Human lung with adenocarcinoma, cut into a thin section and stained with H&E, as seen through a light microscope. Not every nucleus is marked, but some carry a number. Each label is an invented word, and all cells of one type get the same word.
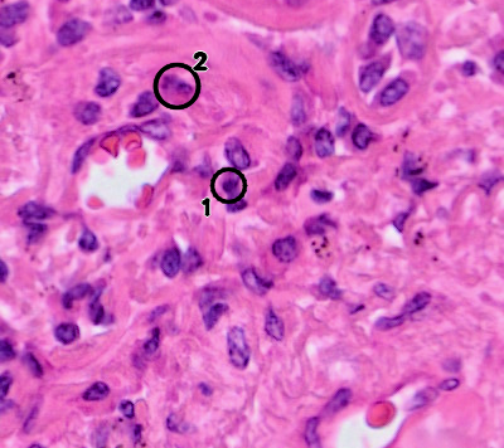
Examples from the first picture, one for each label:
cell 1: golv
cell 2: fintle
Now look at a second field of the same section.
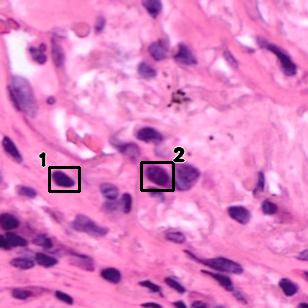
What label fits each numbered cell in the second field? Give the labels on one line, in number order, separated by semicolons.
golv; fintle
